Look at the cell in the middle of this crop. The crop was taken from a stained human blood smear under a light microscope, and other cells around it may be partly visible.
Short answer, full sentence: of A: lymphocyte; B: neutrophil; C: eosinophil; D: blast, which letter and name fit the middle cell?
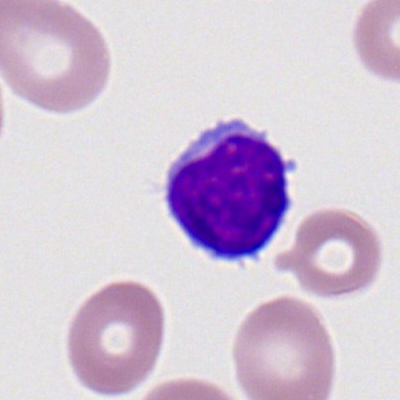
Option A is correct in naming the middle cell a lymphocyte.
